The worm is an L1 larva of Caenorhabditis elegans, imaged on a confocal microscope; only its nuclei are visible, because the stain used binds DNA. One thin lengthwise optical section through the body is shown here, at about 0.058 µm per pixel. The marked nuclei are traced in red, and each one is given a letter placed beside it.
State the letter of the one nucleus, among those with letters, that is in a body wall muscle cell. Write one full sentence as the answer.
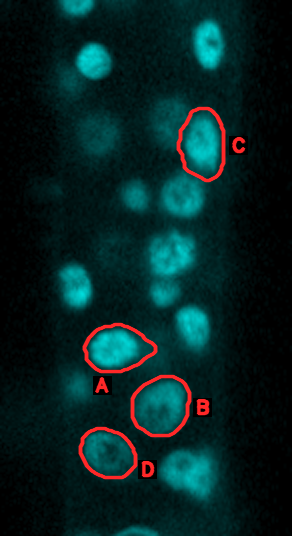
Of the marked nuclei, C is the one in a body wall muscle cell.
